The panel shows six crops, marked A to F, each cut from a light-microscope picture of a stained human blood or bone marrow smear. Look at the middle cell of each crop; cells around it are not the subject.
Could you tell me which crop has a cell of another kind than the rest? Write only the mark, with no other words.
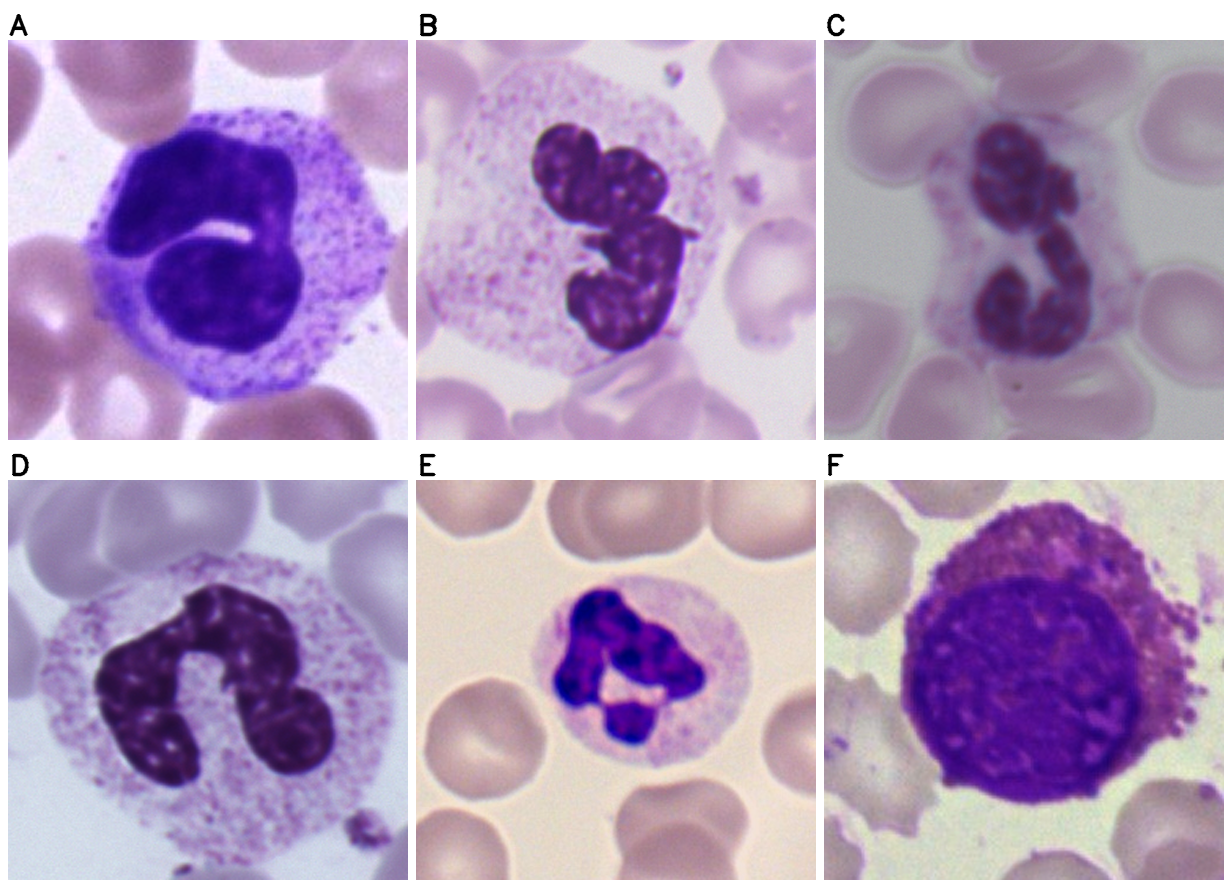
F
